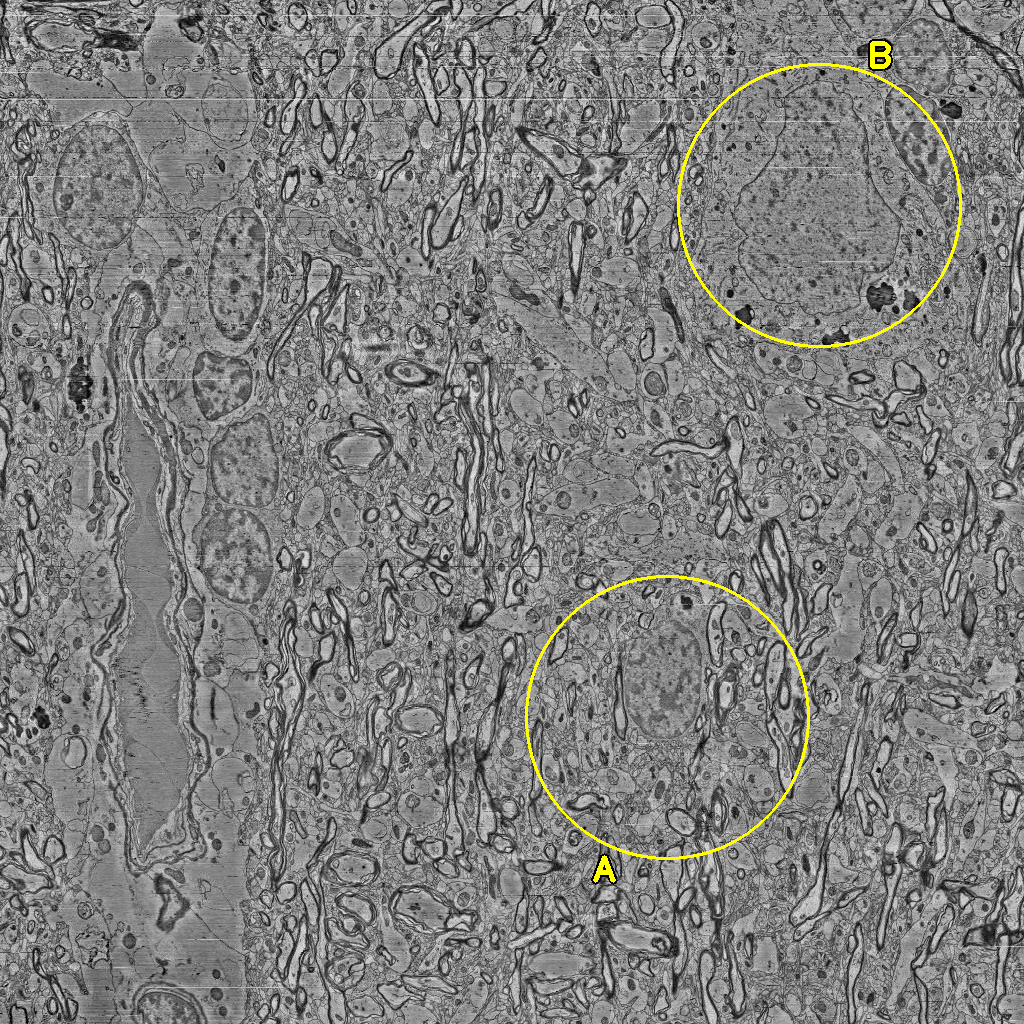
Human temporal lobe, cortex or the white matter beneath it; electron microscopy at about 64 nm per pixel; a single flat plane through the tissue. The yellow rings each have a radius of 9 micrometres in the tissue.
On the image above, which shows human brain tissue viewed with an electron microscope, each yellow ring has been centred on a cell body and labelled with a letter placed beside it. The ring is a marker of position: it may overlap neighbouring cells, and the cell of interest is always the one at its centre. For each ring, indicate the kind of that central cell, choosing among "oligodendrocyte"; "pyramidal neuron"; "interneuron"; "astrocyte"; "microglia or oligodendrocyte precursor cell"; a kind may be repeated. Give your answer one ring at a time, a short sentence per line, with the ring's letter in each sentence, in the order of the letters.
Ring A shows an oligodendrocyte at its centre.
Ring B shows a pyramidal neuron at its centre.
